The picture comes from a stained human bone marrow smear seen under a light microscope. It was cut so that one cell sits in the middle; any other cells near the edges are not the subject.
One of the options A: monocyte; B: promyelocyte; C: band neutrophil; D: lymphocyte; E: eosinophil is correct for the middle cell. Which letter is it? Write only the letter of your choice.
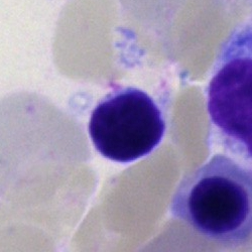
D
